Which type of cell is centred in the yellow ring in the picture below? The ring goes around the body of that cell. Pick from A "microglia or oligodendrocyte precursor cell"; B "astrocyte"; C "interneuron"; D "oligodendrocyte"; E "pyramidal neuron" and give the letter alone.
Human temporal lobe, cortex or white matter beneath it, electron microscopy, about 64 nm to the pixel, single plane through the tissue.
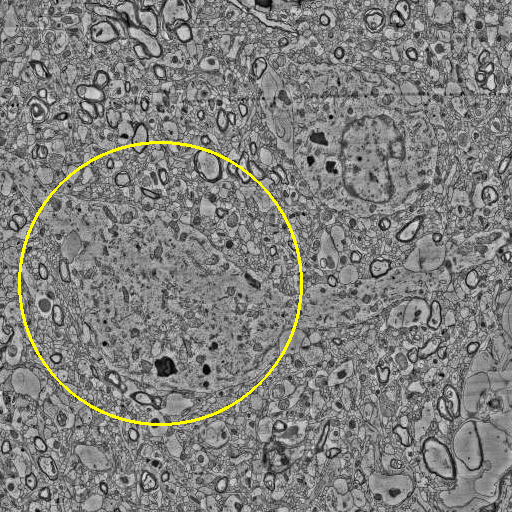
E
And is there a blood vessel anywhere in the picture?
No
